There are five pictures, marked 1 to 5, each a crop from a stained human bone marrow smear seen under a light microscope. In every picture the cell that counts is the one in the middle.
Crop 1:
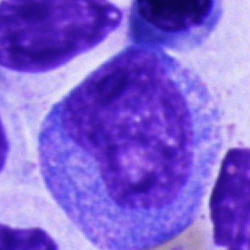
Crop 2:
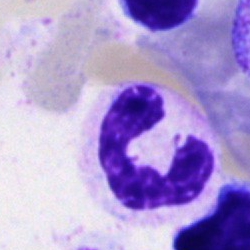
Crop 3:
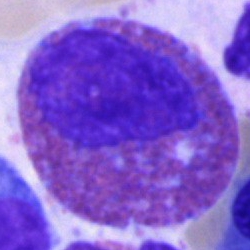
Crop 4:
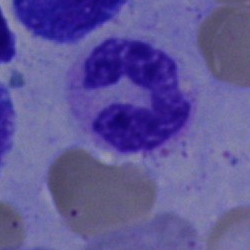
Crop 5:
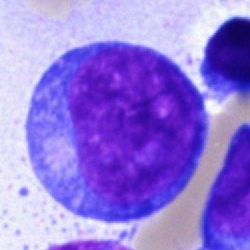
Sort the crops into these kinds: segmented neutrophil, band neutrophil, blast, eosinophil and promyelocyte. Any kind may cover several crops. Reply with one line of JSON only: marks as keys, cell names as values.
{"1": "promyelocyte", "2": "segmented neutrophil", "3": "eosinophil", "4": "segmented neutrophil", "5": "blast"}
